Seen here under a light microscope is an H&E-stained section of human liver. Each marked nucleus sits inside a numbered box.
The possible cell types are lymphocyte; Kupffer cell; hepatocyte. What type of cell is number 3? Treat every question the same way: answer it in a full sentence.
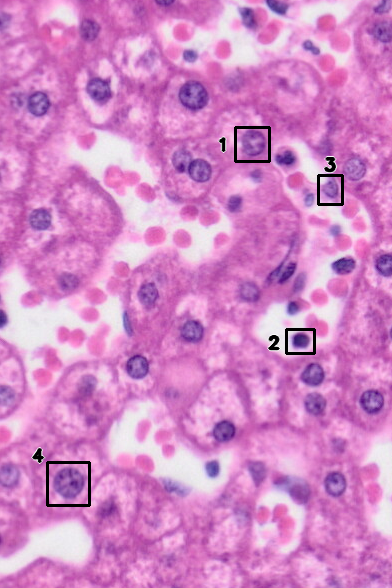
The expected answer is that cell 3 is a Kupffer cell.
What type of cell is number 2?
The cell assigned the number 2 is a lymphocyte.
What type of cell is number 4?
Cell 4 in the field is a hepatocyte.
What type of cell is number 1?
That cell with number 1 is a hepatocyte.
